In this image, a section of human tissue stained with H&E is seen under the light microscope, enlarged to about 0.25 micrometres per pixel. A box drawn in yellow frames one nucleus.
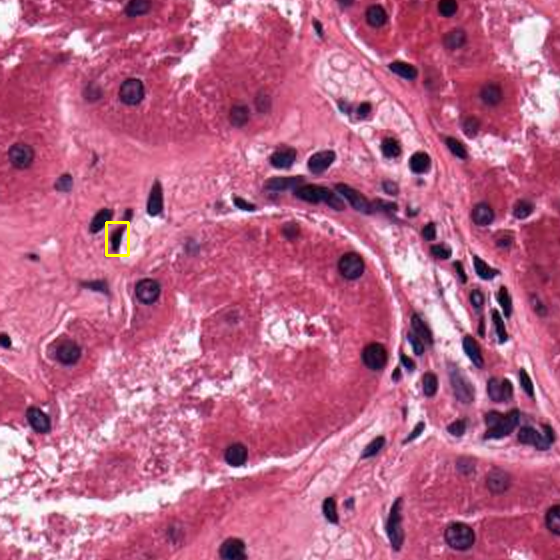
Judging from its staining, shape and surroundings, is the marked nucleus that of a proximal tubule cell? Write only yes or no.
no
